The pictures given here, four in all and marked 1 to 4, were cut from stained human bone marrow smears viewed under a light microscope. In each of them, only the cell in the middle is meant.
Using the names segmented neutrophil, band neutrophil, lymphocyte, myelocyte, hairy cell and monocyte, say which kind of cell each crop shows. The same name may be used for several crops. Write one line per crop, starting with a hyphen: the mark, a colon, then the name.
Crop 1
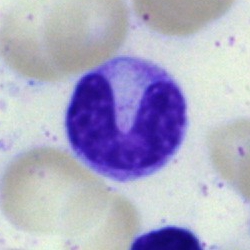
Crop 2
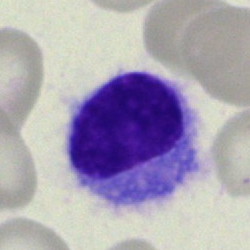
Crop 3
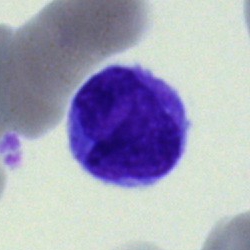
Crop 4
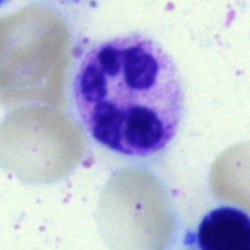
- 1: band neutrophil
- 2: hairy cell
- 3: monocyte
- 4: segmented neutrophil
